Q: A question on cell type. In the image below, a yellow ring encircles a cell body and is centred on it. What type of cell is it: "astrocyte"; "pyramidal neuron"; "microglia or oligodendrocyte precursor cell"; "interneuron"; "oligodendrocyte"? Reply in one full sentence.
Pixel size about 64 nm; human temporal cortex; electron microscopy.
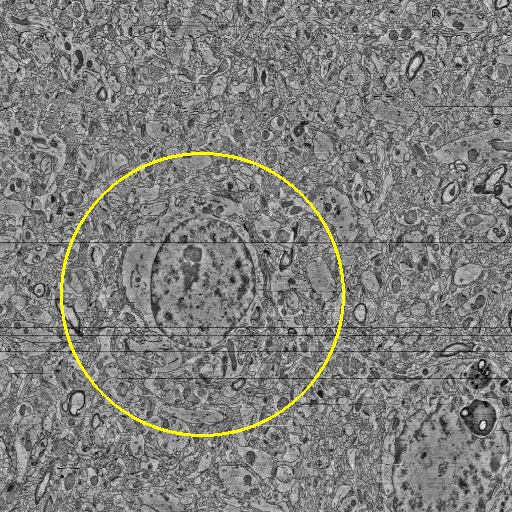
It is an astrocyte whose cell body sits at the centre of the yellow ring in the image.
